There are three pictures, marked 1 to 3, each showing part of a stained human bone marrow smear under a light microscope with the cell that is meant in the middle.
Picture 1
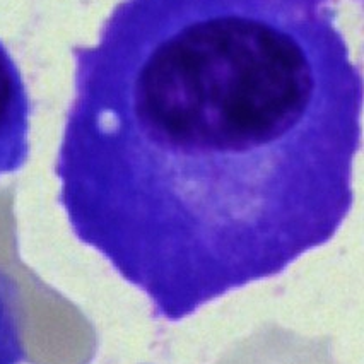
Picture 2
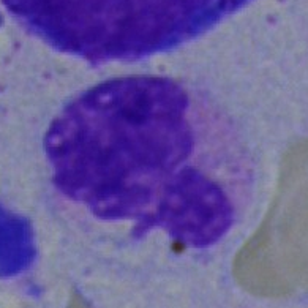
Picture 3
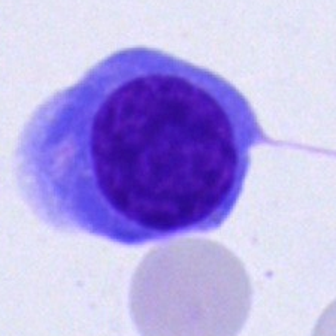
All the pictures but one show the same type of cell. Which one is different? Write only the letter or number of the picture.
2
